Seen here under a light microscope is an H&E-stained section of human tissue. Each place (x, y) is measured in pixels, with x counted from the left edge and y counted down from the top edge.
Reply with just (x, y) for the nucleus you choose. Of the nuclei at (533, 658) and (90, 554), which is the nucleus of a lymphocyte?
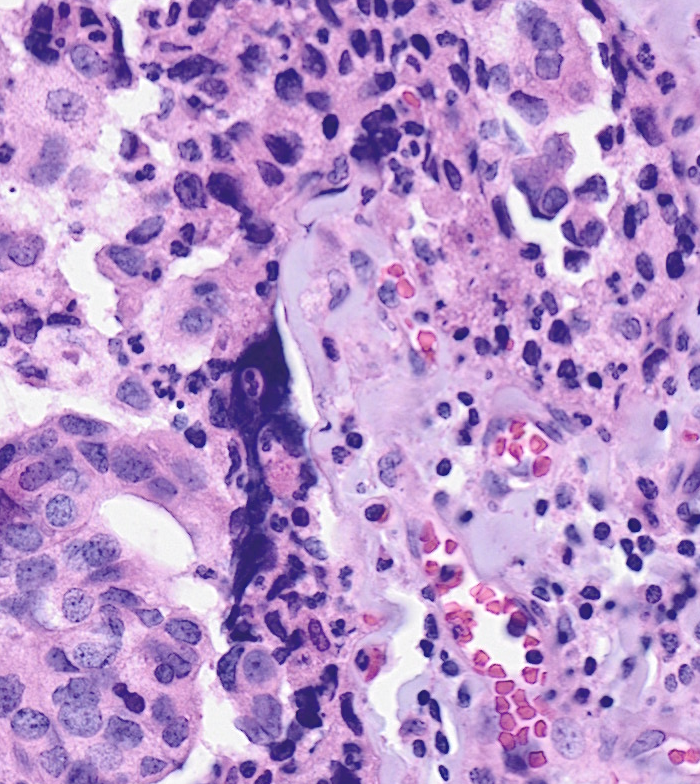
(533, 658)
